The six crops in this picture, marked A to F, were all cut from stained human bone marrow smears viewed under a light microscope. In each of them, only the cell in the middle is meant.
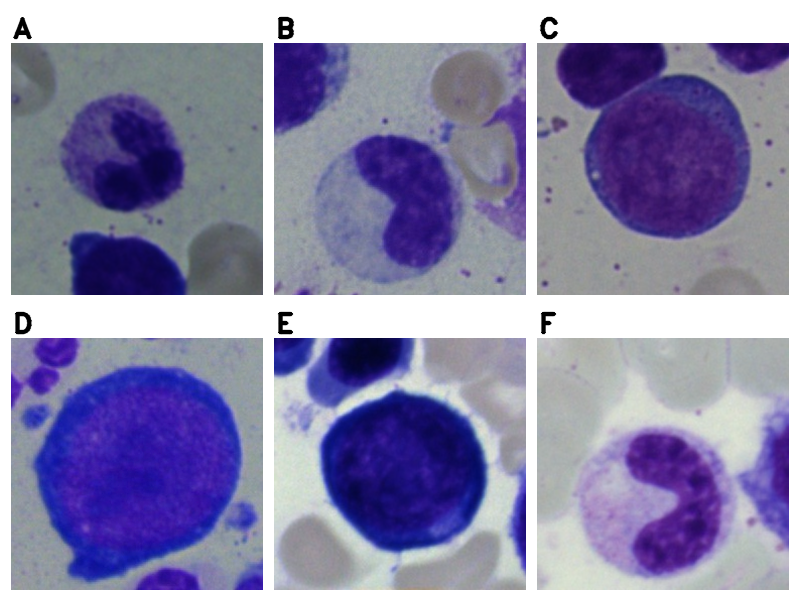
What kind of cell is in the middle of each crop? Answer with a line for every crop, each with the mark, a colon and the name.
A: band neutrophil
B: band neutrophil
C: proerythroblast
D: proerythroblast
E: proerythroblast
F: band neutrophil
